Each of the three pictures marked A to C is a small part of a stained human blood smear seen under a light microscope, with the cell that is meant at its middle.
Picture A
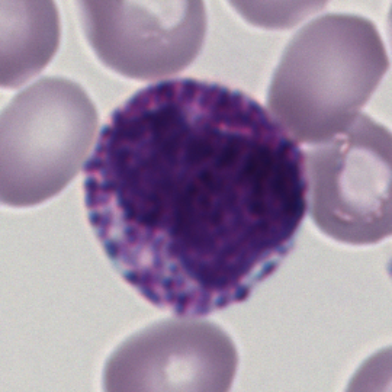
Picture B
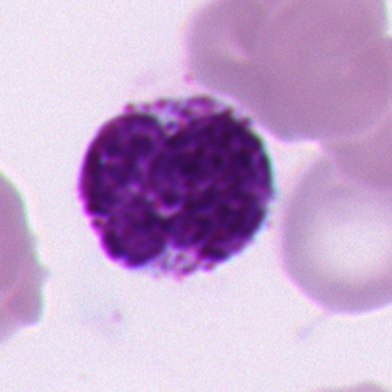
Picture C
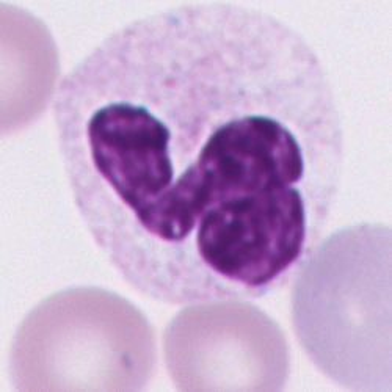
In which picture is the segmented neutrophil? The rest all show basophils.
C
